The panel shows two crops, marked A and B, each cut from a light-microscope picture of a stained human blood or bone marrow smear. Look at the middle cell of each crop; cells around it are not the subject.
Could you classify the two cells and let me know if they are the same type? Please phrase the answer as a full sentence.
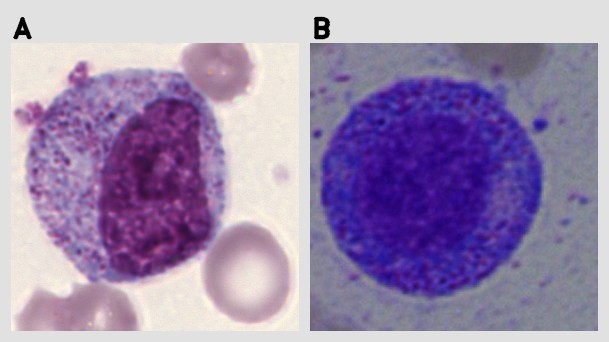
Yes, both crops do show promyelocytes in the middle.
